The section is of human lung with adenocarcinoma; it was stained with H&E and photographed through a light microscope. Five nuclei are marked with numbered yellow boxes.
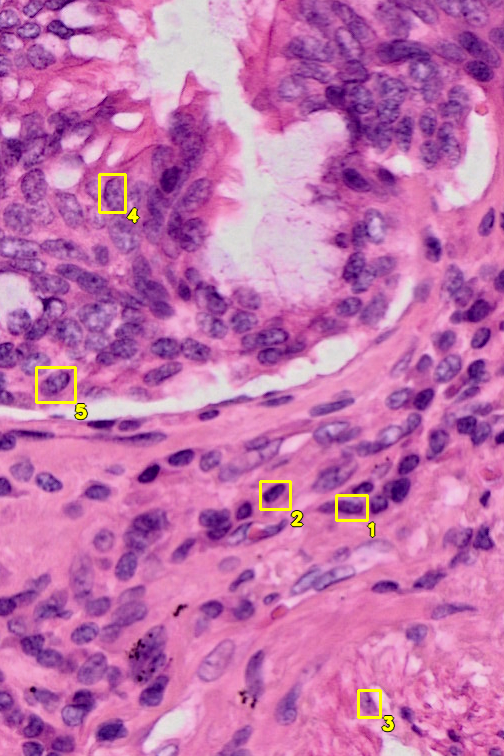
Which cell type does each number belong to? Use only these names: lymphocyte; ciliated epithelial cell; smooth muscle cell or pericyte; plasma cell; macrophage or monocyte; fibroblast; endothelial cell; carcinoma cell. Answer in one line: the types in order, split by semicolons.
plasma cell; plasma cell; smooth muscle cell or pericyte; ciliated epithelial cell; ciliated epithelial cell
